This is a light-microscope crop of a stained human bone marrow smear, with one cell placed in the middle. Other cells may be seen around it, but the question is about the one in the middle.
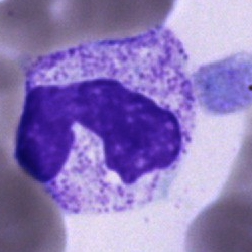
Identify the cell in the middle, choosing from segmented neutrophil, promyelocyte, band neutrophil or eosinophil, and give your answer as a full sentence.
What the crop centres on is a band neutrophil.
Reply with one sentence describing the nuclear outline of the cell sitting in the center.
The nucleus is one compact mass, round, oval or kidney-shaped in outline.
